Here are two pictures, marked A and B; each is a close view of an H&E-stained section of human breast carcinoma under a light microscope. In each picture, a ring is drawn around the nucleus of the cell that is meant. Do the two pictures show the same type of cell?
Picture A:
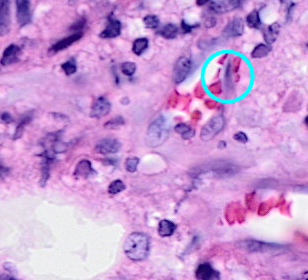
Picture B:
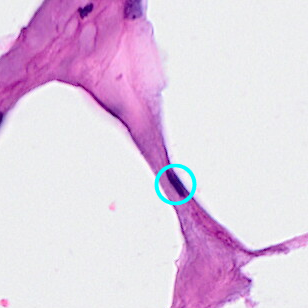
no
